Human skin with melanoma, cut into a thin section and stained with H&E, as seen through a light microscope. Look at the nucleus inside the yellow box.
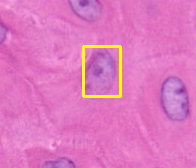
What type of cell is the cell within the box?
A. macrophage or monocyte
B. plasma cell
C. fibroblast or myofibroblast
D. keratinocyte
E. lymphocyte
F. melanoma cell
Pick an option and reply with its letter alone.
D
